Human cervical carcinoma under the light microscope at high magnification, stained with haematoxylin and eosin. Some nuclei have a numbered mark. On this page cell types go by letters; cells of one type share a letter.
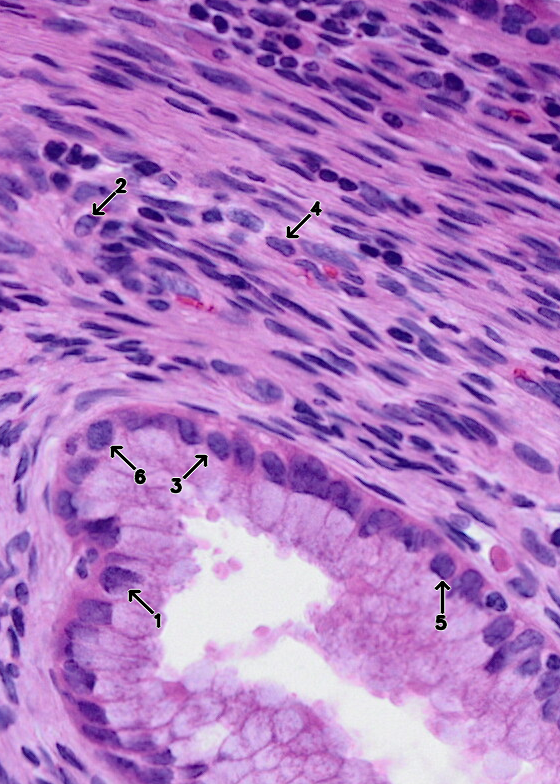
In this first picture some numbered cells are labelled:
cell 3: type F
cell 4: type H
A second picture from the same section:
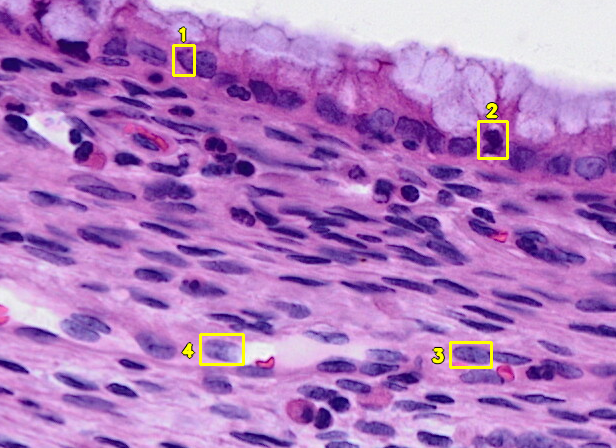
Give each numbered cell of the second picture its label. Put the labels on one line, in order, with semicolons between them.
type F; type F; type H; type H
